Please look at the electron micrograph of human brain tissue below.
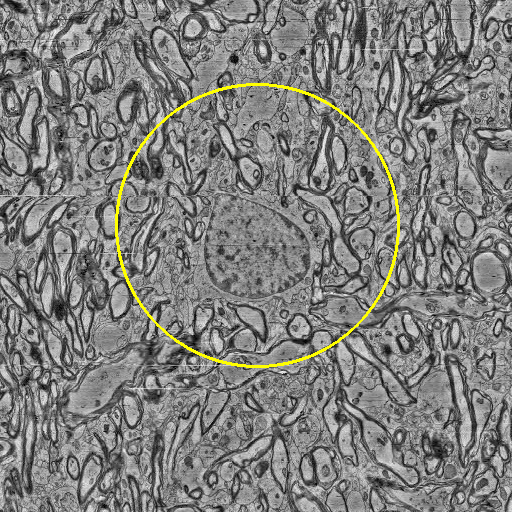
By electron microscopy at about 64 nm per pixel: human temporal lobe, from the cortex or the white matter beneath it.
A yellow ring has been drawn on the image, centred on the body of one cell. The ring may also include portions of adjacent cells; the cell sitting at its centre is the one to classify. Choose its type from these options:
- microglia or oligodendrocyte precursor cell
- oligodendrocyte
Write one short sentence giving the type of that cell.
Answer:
The cell in the middle of the ring is a microglial cell or oligodendrocyte precursor cell.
